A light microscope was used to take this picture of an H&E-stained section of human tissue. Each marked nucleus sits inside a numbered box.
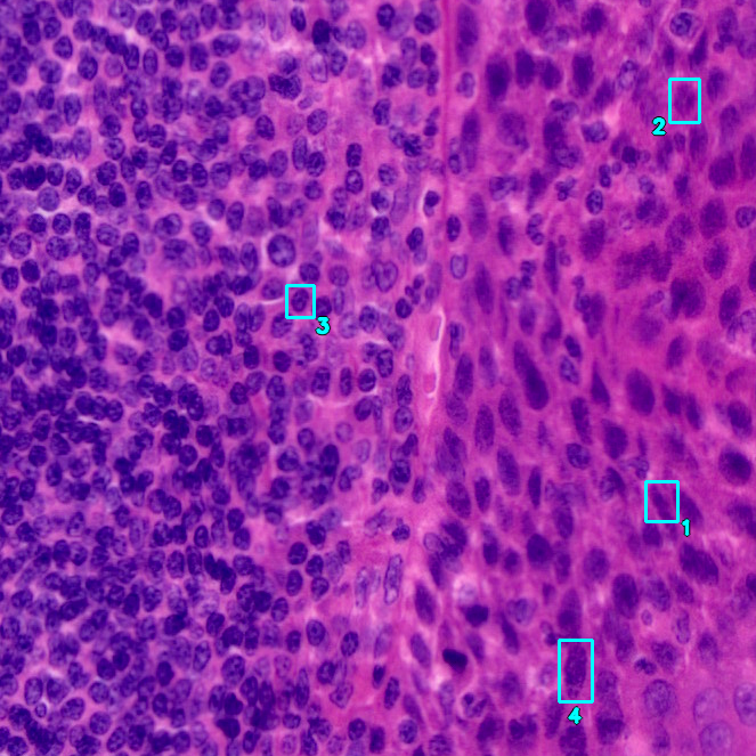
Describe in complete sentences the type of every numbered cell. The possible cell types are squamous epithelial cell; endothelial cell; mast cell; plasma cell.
Cell 1 is a squamous epithelial cell, cell 2 is a squamous epithelial cell, cell 3 is a plasma cell and cell 4 is a squamous epithelial cell.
